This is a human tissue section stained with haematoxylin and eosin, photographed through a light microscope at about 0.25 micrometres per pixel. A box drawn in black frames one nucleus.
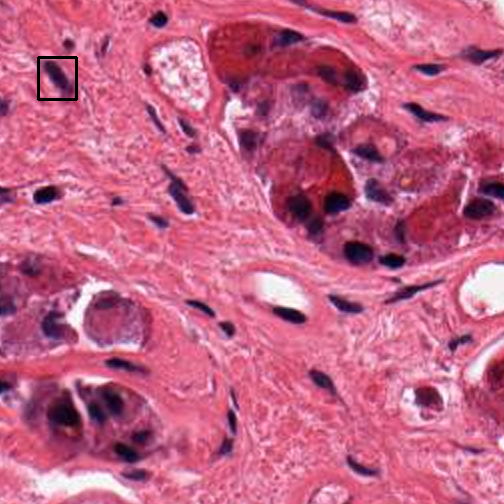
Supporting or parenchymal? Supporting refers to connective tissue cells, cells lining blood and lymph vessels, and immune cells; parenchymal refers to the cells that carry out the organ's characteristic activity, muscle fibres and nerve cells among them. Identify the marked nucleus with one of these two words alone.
supporting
